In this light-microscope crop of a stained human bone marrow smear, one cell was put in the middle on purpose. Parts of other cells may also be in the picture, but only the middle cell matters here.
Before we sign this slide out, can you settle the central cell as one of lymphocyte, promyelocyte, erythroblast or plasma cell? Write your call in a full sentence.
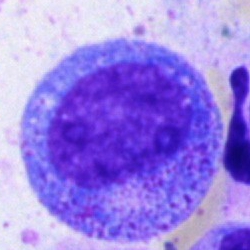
The cell occupying the middle of the crop is a promyelocyte.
